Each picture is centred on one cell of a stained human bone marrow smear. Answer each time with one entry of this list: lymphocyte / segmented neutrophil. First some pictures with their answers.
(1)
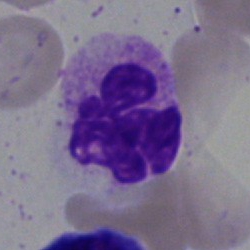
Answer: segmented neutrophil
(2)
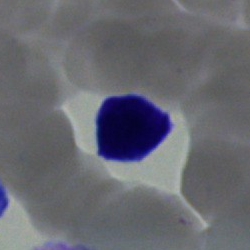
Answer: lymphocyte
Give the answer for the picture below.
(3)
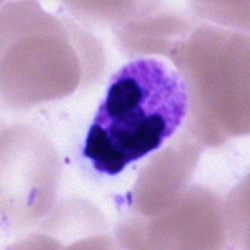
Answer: segmented neutrophil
